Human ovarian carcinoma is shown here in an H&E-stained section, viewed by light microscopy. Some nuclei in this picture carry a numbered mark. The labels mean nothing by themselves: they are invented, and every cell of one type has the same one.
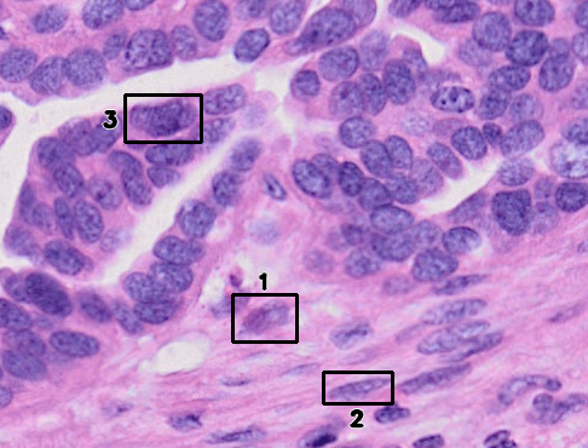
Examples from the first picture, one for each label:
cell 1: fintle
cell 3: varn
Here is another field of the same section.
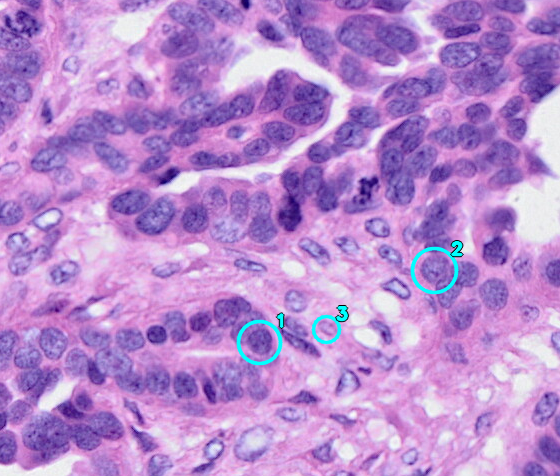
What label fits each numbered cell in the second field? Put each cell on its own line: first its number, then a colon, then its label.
1: varn
2: varn
3: fintle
